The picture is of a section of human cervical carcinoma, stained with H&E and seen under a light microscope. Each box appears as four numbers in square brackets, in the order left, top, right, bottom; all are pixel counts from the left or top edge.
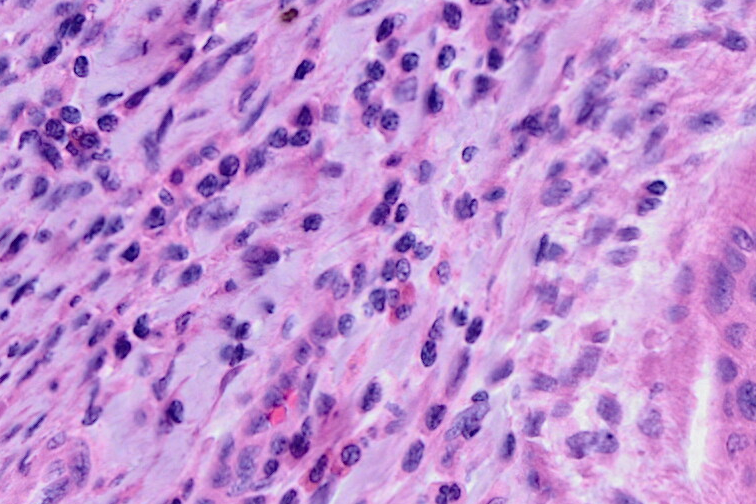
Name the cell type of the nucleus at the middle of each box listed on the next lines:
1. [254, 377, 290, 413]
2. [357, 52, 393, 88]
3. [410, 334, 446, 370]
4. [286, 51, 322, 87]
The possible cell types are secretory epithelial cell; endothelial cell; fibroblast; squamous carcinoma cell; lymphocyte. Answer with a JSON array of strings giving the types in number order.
["endothelial cell", "lymphocyte", "lymphocyte", "lymphocyte"]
